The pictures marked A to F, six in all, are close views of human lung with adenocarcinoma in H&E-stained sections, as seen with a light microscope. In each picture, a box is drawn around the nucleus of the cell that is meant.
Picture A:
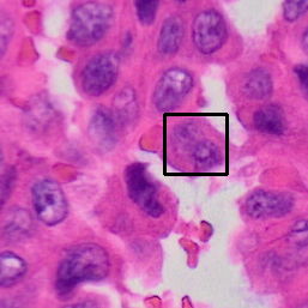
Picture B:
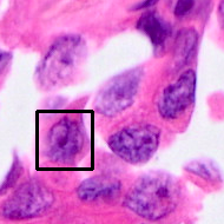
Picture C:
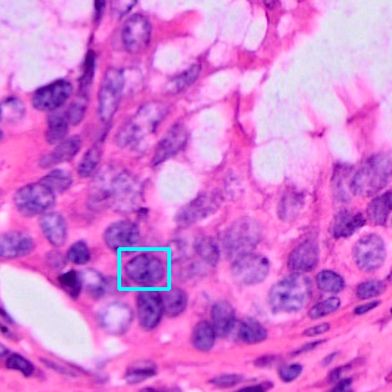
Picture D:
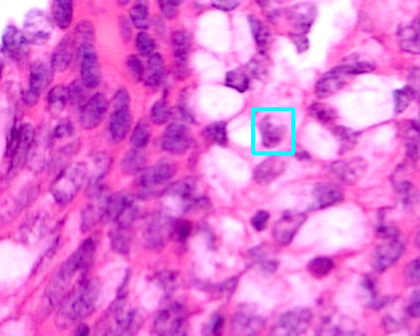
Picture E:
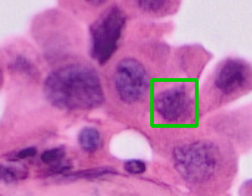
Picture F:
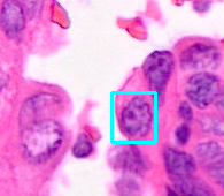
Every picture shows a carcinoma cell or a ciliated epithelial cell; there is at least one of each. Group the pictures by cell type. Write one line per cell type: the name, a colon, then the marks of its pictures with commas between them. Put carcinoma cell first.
carcinoma cell: A, B, E, F
ciliated epithelial cell: C, D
